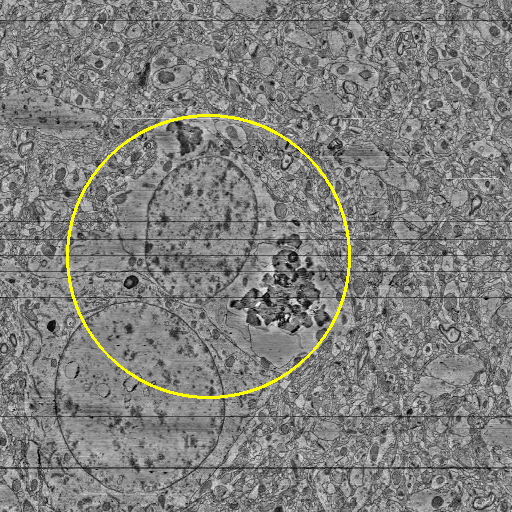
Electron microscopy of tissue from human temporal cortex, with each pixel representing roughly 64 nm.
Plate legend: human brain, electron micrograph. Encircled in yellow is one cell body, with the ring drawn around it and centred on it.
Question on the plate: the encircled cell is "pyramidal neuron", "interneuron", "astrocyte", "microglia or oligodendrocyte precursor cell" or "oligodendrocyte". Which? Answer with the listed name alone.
astrocyte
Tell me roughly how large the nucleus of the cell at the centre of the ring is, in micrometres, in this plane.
The ringed cell's nucleus measures approximately 10 by 7 micrometres in this plane.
